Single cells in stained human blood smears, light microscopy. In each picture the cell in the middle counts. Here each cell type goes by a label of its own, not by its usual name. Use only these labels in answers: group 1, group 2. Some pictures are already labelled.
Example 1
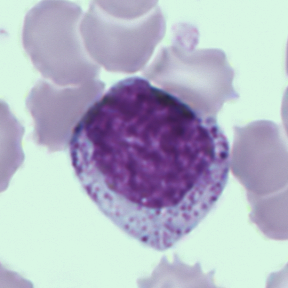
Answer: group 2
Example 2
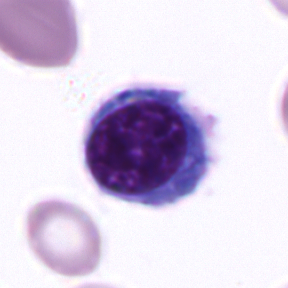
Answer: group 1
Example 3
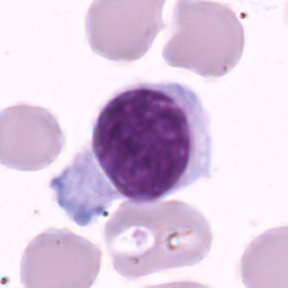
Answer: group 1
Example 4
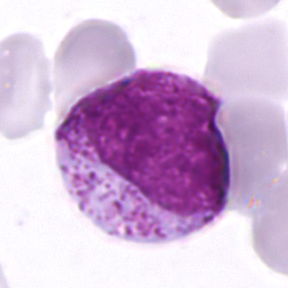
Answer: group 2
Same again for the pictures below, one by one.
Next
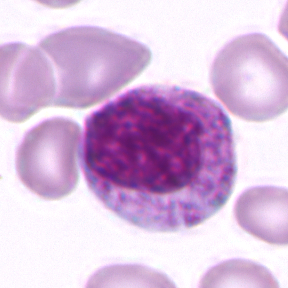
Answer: group 2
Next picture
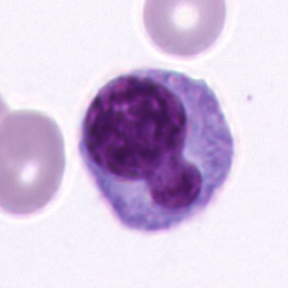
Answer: group 1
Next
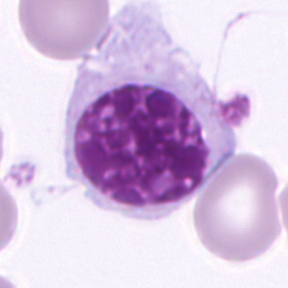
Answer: group 1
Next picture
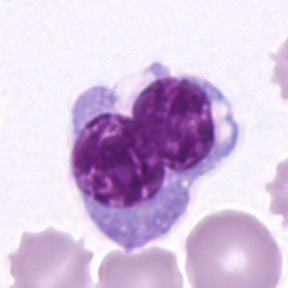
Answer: group 1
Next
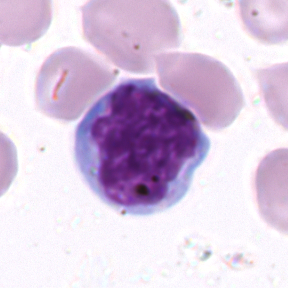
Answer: group 1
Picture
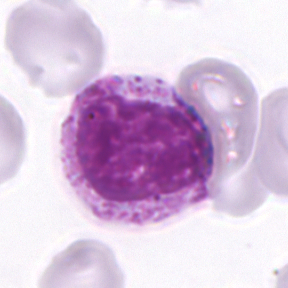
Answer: group 2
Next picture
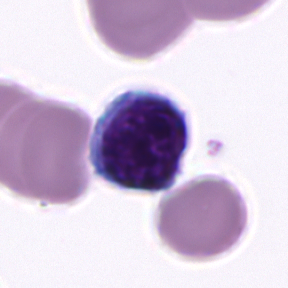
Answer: group 1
